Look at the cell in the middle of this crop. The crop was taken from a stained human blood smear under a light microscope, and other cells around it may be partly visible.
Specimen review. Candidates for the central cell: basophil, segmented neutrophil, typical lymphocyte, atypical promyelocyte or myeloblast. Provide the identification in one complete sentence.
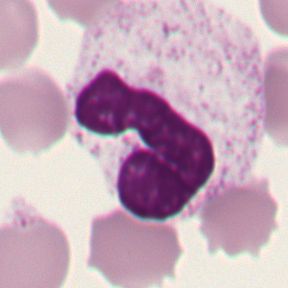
To answer, the cell in the center of the crop is a segmented neutrophil.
